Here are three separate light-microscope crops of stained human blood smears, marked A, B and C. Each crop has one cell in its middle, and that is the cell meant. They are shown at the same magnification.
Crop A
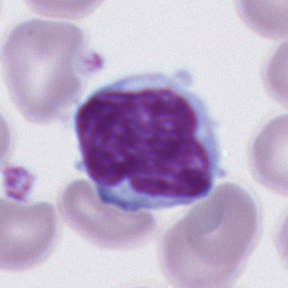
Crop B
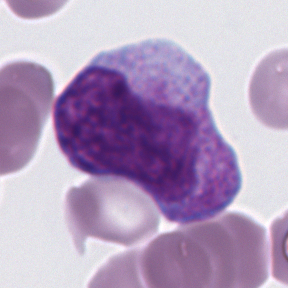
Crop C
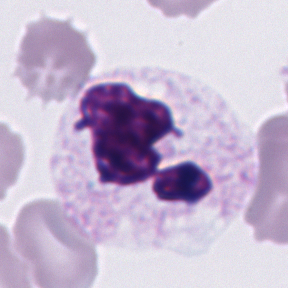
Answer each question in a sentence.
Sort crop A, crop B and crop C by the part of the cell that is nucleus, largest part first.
The most filled comes first: A, B, C.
